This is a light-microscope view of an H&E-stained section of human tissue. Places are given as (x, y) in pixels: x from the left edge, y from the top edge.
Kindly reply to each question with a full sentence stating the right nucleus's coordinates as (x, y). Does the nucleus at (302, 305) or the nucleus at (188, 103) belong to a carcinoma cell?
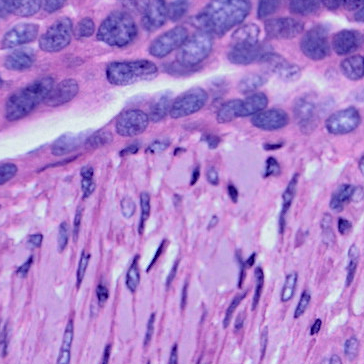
Of these two nuclei, only the one at (188, 103) belongs to a carcinoma cell.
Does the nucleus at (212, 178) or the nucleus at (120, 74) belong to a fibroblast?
Of the two nuclei, the nucleus belonging to a fibroblast is located at (212, 178).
